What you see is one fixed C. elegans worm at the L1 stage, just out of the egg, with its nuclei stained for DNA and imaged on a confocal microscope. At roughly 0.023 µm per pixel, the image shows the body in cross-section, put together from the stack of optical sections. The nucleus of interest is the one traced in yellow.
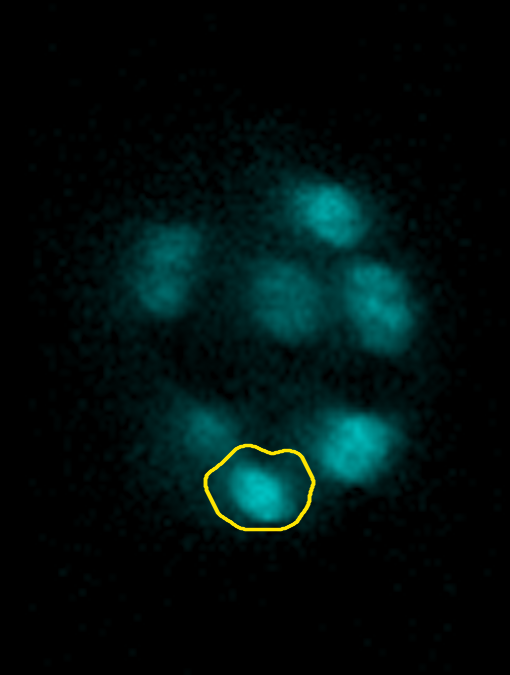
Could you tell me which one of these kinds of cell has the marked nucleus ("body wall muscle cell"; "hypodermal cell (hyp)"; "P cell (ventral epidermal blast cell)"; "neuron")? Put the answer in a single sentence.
The marked nucleus belongs to a neuron.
